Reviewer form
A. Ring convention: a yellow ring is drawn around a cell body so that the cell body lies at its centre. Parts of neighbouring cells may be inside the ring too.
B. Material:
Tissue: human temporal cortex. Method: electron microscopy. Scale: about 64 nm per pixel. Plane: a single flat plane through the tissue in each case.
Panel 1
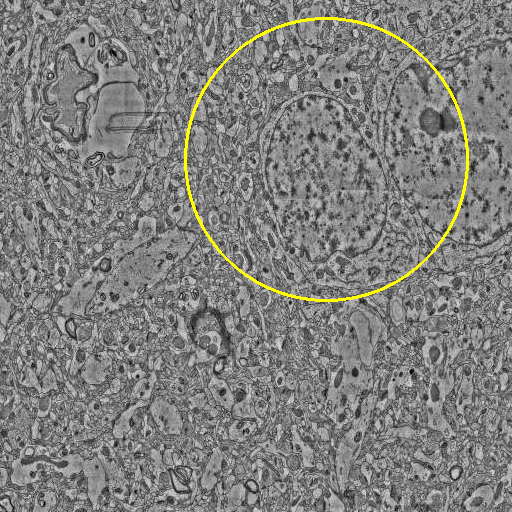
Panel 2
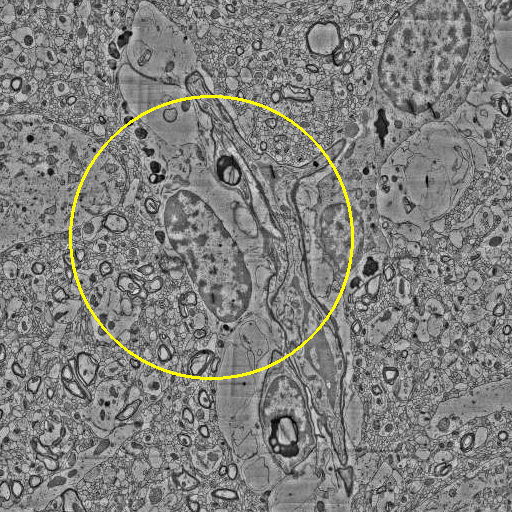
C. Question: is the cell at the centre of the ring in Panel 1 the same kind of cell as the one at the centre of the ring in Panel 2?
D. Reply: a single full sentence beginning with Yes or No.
No, the cells in Panel 1 and Panel 2 are two kinds of cell.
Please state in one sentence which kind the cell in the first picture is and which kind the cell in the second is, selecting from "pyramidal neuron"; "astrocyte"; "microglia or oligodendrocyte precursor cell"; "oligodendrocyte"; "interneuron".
The first ringed cell is an interneuron, the second ringed cell a microglial cell or oligodendrocyte precursor cell.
